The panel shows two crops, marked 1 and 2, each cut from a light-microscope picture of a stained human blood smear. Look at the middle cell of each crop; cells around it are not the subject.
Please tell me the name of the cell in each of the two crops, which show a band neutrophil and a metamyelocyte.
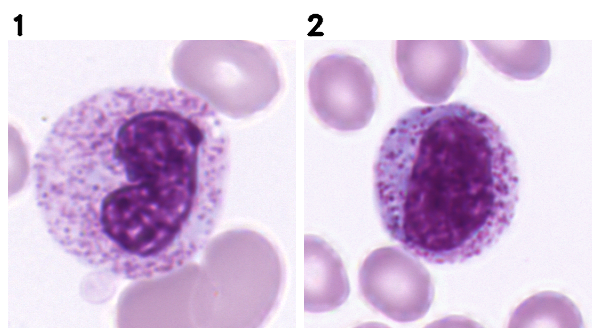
1: band neutrophil
2: metamyelocyte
